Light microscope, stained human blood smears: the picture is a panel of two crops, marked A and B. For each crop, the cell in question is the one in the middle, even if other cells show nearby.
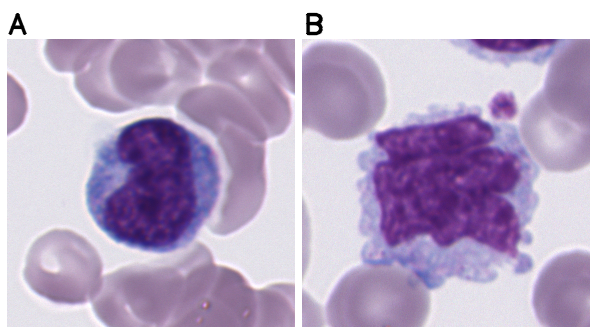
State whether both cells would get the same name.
yes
